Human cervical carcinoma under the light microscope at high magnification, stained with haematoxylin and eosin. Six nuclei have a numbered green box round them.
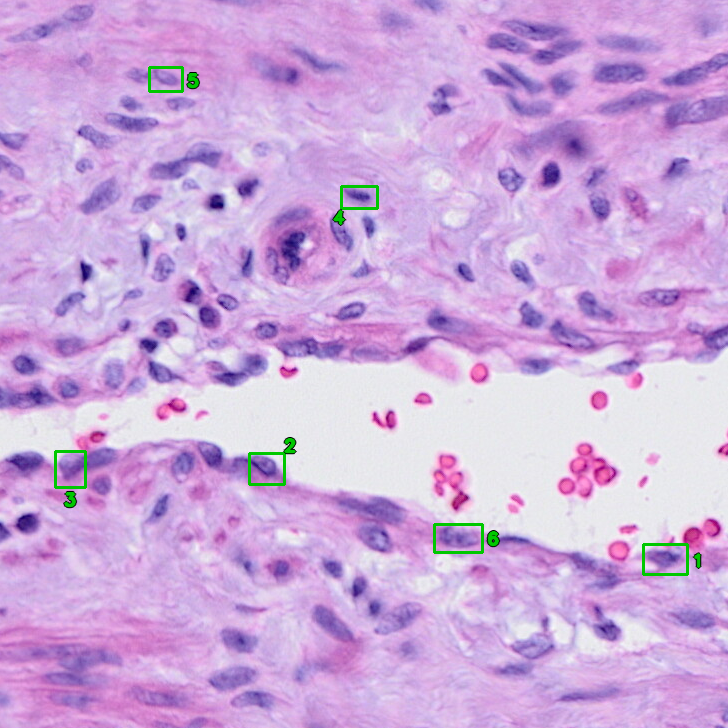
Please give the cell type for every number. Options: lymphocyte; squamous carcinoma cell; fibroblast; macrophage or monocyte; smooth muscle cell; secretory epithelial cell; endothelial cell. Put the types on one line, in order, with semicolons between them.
endothelial cell; endothelial cell; endothelial cell; fibroblast; smooth muscle cell; endothelial cell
